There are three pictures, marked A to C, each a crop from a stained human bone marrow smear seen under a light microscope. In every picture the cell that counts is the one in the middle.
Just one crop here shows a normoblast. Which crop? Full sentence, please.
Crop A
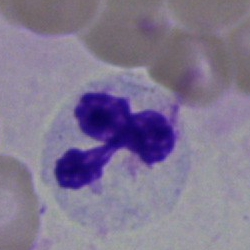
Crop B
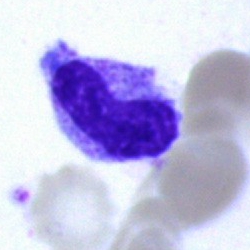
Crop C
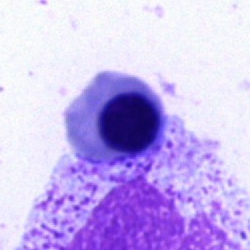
Crop C is the one to choose: it shows a normoblast.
